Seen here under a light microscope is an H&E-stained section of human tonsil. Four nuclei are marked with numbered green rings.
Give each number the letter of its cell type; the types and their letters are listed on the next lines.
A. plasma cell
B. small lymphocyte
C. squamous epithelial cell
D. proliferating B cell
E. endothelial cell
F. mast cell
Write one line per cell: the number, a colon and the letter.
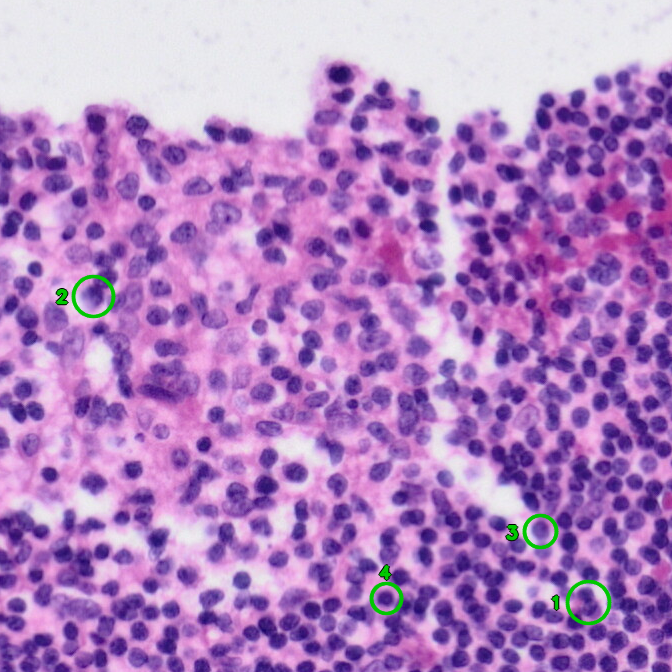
1: B
2: D
3: B
4: B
